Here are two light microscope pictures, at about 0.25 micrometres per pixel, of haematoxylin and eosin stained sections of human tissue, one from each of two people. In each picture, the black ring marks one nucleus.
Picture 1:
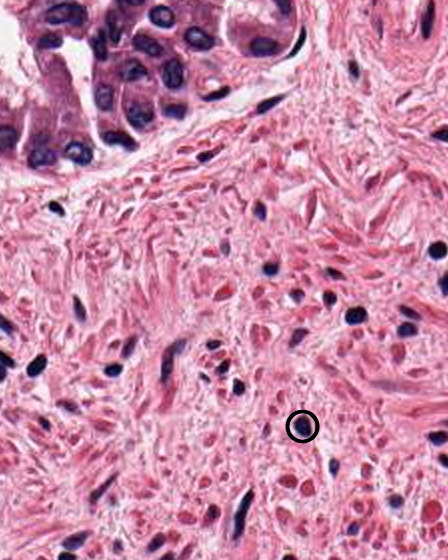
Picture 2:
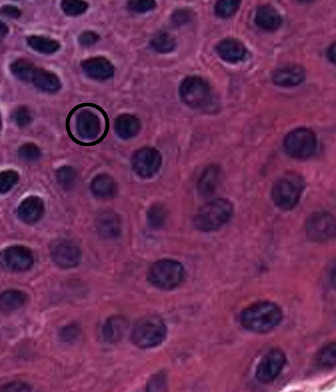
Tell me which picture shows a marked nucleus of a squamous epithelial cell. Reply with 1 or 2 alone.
2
